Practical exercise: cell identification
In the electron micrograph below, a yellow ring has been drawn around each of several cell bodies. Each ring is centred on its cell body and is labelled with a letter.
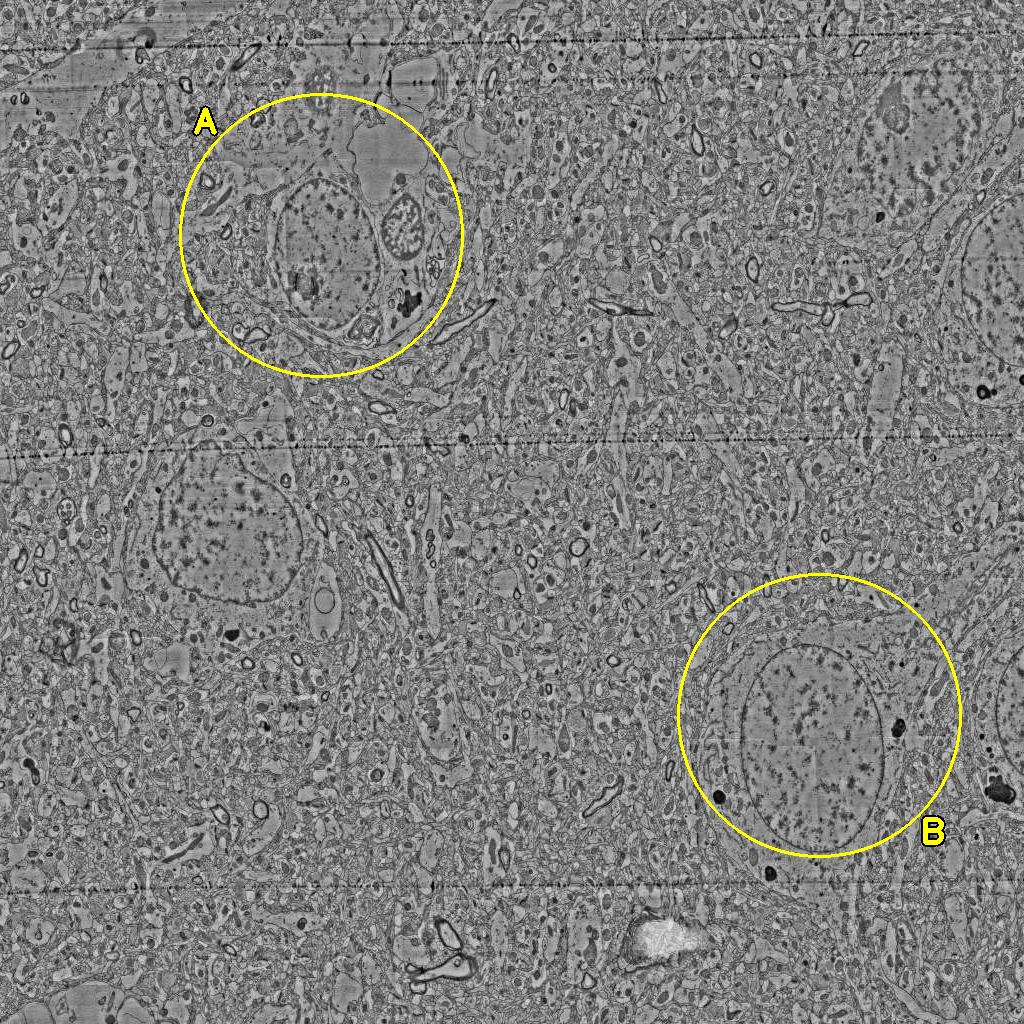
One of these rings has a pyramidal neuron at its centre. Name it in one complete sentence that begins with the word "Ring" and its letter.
Ring B has that cell at its centre.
